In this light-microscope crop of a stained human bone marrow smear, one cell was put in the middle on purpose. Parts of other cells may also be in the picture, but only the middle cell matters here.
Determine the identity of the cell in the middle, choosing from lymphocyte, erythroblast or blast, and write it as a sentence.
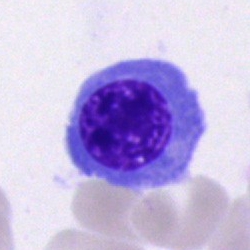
In this smear crop, the middle cell is an erythroblast.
